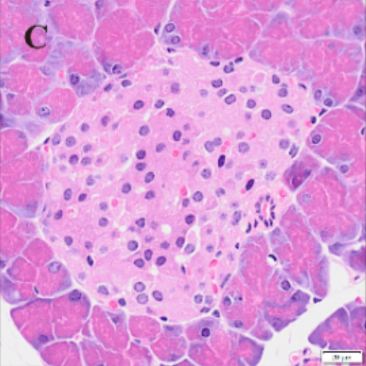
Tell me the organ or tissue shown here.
Pancreatic tissue.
